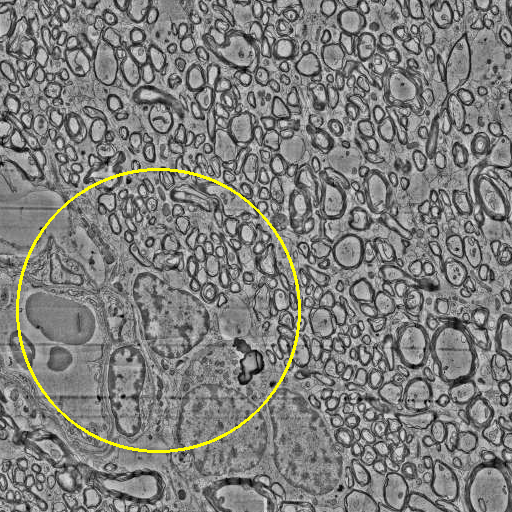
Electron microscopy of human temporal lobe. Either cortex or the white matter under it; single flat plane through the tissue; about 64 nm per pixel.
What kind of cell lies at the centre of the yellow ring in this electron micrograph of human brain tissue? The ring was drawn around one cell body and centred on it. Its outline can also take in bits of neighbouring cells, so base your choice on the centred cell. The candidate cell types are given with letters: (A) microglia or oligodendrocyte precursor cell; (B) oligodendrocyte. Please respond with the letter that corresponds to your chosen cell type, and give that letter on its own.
A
